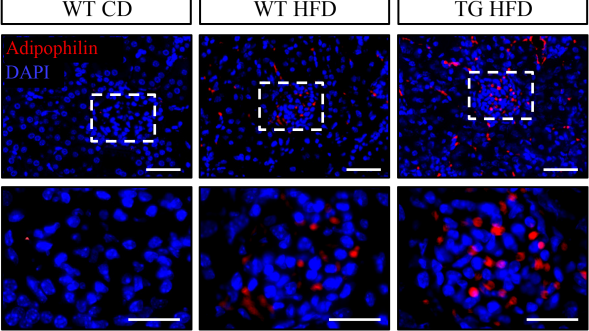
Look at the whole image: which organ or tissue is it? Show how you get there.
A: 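Round, densely nucleated tufts lie within the boxed areas, surrounded by more evenly spaced nuclei of tubule-like arrangement.
Conclusion: kidney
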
